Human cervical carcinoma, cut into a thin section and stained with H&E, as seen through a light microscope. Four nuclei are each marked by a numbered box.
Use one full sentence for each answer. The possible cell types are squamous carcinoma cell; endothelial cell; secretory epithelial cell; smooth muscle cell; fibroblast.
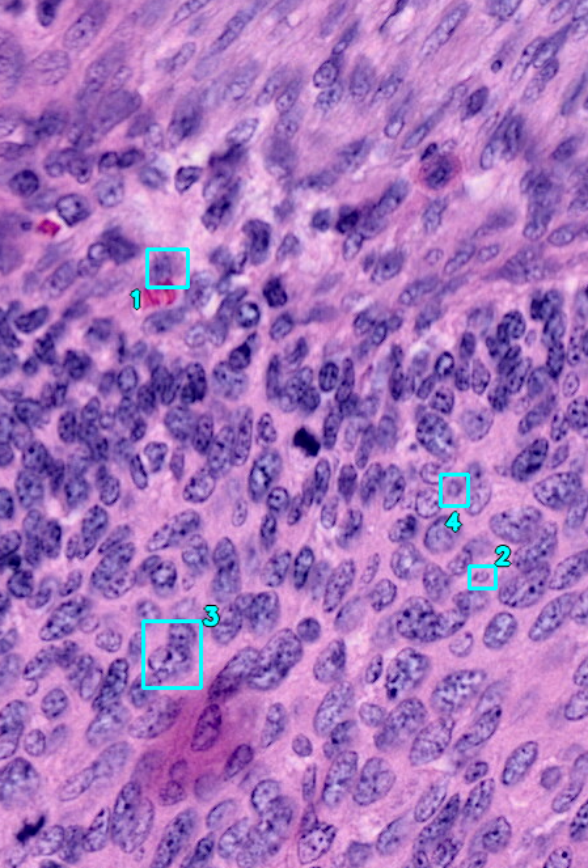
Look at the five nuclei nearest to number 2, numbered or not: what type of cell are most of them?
Of the five nuclei nearest to number 2, most belong to squamous carcinoma cells.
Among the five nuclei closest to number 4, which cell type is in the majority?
The majority of the five nuclei closest to number 4 belong to squamous carcinoma cells.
